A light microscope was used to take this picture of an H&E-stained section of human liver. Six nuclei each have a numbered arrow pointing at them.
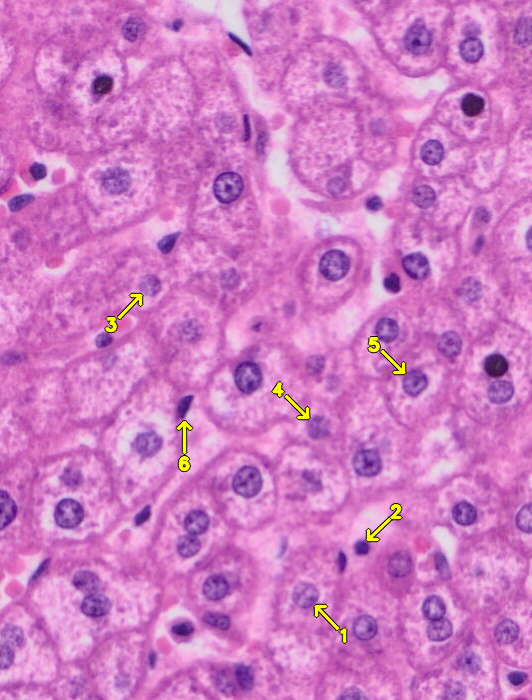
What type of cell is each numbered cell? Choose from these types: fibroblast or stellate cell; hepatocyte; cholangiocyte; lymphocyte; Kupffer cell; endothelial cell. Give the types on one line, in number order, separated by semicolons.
hepatocyte; lymphocyte; hepatocyte; hepatocyte; hepatocyte; endothelial cell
